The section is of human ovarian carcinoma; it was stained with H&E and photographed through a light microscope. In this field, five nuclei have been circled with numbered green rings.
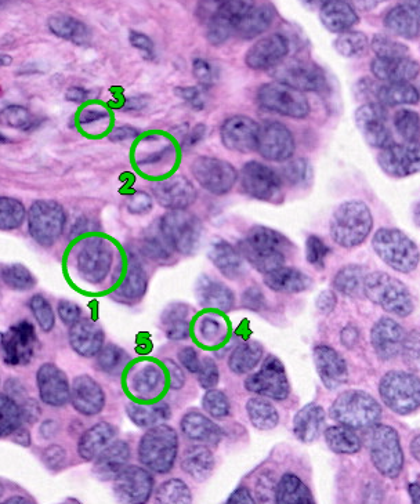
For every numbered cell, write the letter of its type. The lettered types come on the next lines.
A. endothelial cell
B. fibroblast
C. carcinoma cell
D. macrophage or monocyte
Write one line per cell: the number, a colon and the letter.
1: C
2: B
3: B
4: D
5: C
